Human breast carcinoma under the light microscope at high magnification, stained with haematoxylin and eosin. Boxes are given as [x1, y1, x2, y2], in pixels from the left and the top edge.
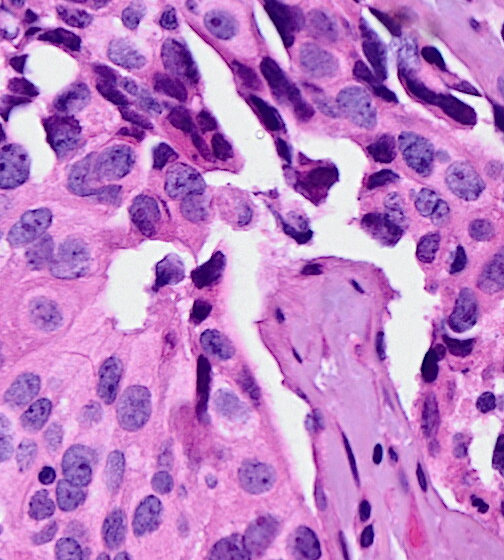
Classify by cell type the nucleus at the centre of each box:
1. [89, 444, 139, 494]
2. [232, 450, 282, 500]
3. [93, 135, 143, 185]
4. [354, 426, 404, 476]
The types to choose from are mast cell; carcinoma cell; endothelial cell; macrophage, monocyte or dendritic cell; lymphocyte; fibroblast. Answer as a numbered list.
1. carcinoma cell
2. carcinoma cell
3. carcinoma cell
4. lymphocyte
